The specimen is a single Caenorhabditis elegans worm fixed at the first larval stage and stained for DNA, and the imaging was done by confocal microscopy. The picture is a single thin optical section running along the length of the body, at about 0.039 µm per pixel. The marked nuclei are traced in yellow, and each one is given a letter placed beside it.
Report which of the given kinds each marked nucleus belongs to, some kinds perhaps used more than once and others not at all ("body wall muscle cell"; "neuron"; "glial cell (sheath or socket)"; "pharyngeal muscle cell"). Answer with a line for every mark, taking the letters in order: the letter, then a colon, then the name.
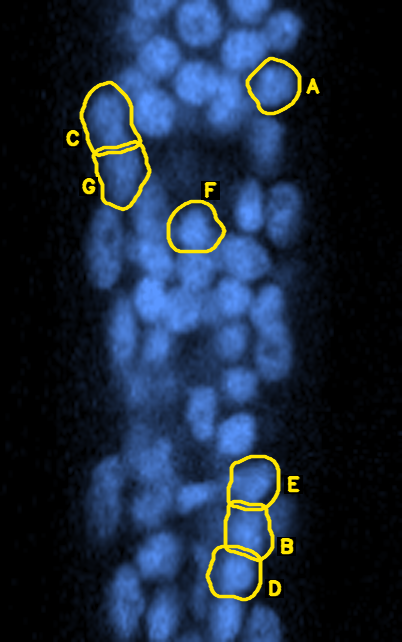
A: neuron
B: glial cell (sheath or socket)
C: neuron
D: glial cell (sheath or socket)
E: glial cell (sheath or socket)
F: neuron
G: body wall muscle cell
